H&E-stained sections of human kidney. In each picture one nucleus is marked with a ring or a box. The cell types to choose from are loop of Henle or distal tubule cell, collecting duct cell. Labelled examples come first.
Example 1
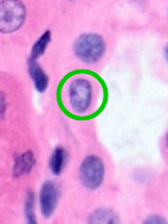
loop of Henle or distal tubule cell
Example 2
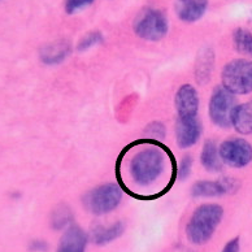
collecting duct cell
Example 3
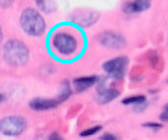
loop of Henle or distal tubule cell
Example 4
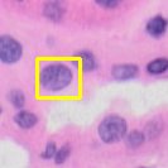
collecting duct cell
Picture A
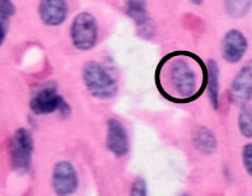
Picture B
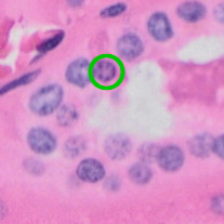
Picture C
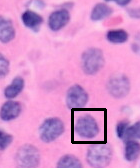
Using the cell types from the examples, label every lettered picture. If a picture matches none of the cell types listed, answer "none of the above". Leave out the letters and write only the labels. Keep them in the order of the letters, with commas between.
loop of Henle or distal tubule cell, collecting duct cell, loop of Henle or distal tubule cell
